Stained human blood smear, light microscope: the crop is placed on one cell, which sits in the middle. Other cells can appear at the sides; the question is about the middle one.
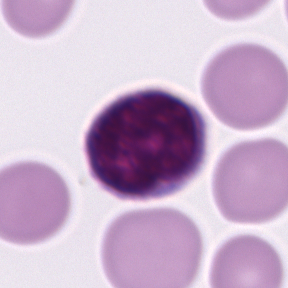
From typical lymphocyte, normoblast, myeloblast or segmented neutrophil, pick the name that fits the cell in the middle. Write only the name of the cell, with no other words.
typical lymphocyte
